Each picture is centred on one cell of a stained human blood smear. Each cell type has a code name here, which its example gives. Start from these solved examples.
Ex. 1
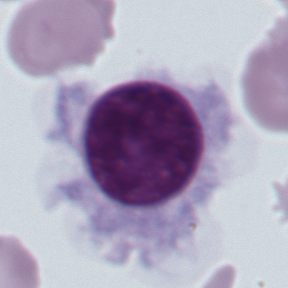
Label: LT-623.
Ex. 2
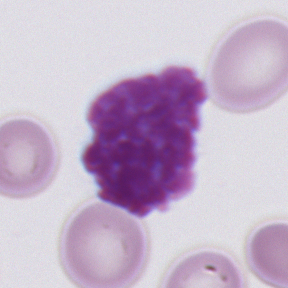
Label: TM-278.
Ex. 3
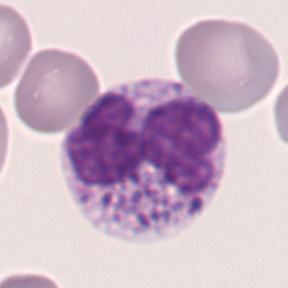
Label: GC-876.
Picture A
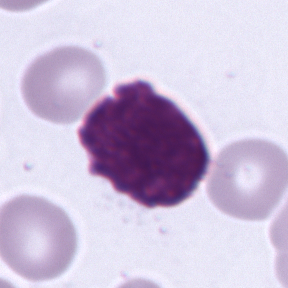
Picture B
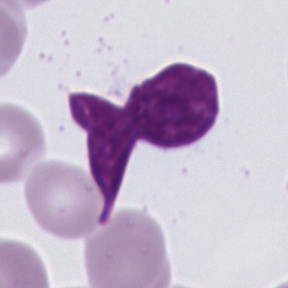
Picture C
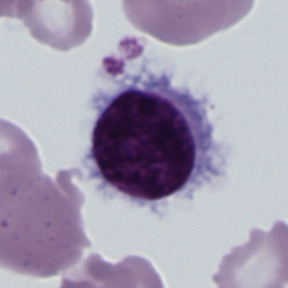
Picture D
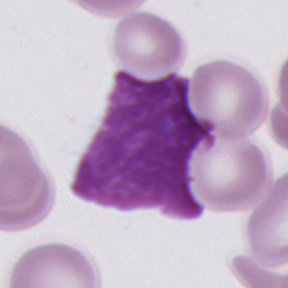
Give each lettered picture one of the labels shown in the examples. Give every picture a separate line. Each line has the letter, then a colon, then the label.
A: TM-278.
B: TM-278.
C: LT-623.
D: TM-278.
